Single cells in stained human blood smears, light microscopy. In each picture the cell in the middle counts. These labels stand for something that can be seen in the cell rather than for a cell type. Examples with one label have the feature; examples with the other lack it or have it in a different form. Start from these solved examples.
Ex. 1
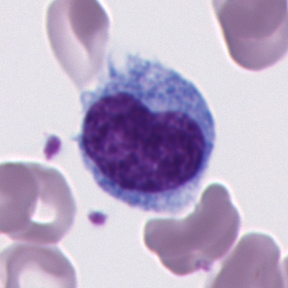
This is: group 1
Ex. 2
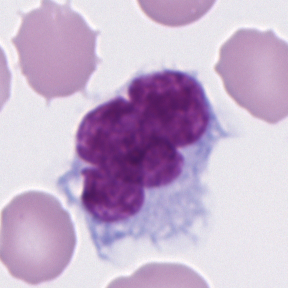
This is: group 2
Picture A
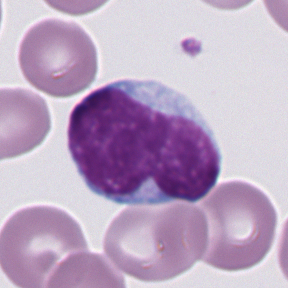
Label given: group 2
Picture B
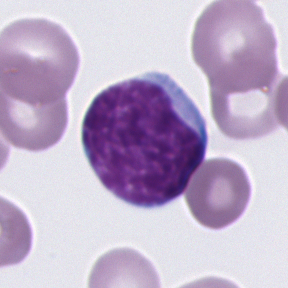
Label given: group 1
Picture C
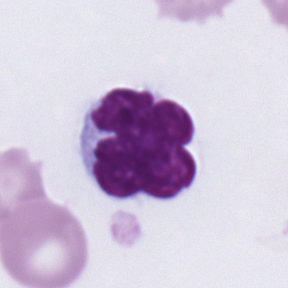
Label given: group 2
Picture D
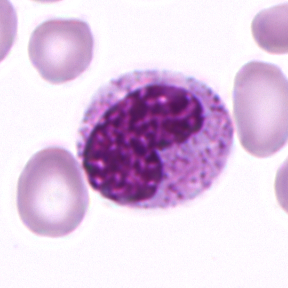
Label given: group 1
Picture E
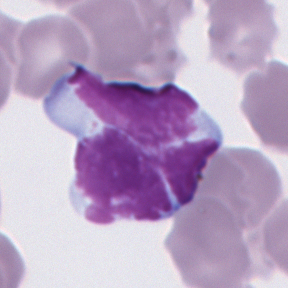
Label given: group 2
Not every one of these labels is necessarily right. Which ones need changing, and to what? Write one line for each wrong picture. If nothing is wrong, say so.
Every label is right.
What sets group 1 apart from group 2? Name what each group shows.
group 1: single compact nucleus; group 2: lobed nucleus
